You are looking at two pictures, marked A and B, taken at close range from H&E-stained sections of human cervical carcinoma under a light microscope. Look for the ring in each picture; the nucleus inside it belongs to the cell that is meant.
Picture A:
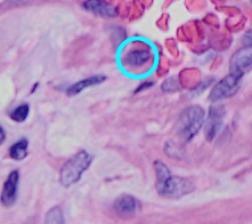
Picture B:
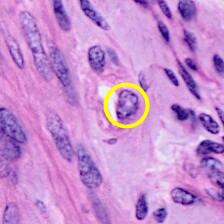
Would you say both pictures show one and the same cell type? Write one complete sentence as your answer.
Yes; the cells in both pictures are endothelial cells.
